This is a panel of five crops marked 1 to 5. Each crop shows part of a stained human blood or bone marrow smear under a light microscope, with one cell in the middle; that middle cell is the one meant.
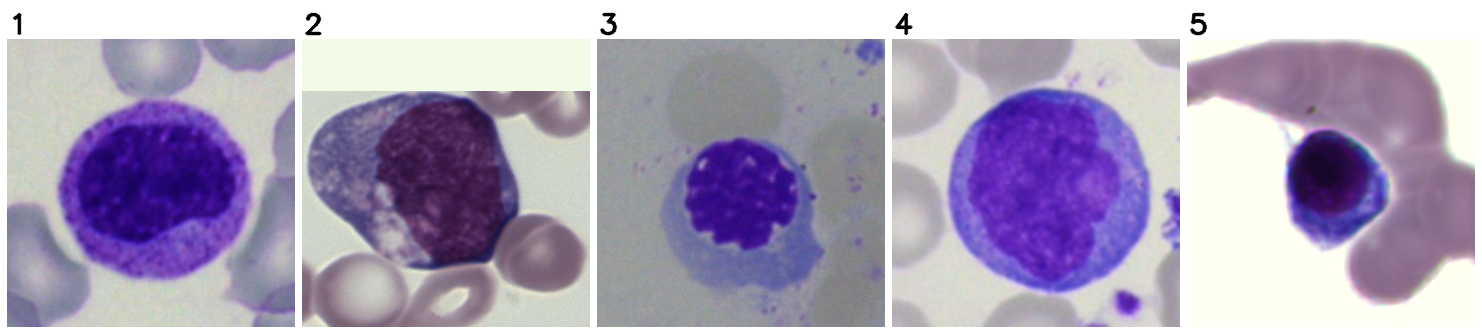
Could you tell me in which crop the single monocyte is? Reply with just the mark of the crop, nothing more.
4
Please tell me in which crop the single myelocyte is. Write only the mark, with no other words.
1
